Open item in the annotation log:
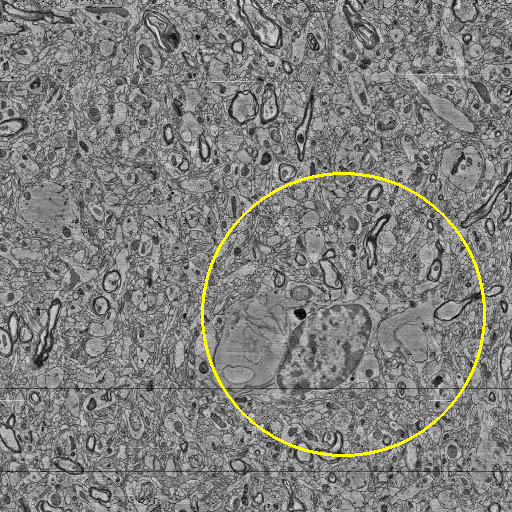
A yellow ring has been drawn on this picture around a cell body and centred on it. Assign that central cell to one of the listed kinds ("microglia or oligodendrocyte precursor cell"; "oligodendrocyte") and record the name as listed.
microglia or oligodendrocyte precursor cell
